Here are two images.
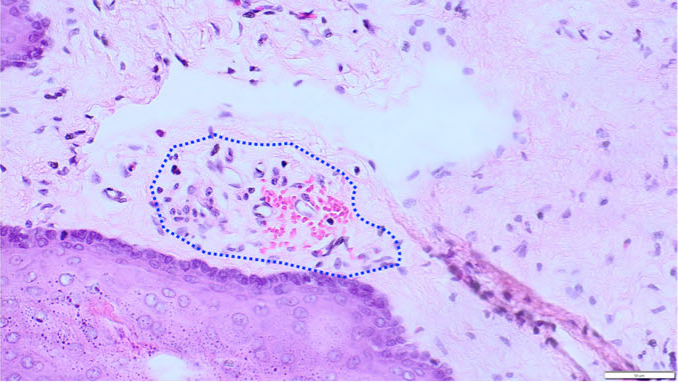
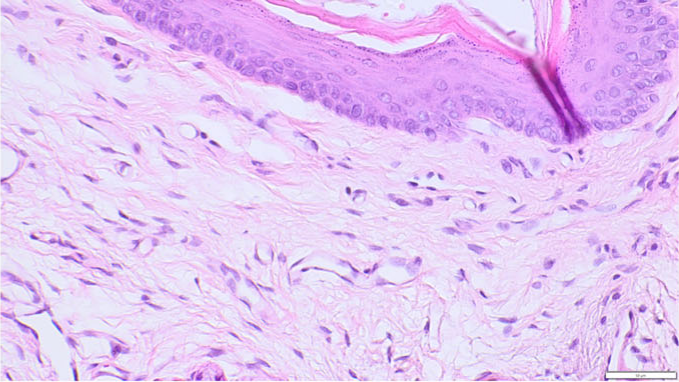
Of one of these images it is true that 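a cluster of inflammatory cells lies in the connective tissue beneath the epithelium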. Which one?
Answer: the first image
